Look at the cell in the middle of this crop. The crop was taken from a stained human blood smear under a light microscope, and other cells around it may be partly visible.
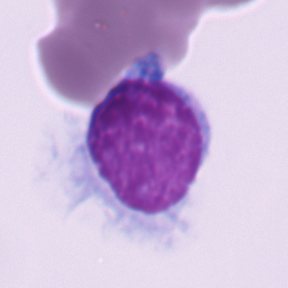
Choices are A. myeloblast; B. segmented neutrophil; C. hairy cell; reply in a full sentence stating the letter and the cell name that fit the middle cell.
Option C is the correct one; it names the central cell as a hairy cell.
